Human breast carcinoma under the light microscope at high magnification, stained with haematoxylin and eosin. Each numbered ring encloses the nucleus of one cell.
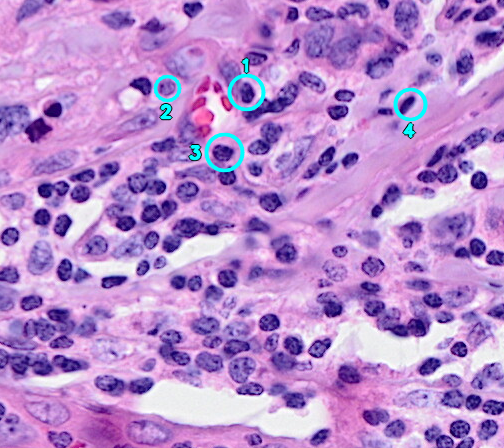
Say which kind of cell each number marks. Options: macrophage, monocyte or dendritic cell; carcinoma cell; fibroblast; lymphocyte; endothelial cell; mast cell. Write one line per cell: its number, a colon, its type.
1: lymphocyte
2: mast cell
3: lymphocyte
4: lymphocyte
